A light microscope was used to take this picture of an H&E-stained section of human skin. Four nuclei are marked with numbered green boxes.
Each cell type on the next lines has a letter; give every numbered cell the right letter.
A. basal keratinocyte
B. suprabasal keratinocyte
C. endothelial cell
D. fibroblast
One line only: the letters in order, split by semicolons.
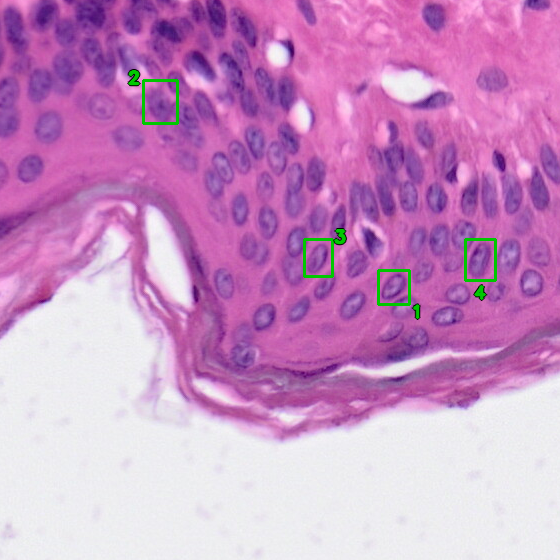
B; A; B; B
